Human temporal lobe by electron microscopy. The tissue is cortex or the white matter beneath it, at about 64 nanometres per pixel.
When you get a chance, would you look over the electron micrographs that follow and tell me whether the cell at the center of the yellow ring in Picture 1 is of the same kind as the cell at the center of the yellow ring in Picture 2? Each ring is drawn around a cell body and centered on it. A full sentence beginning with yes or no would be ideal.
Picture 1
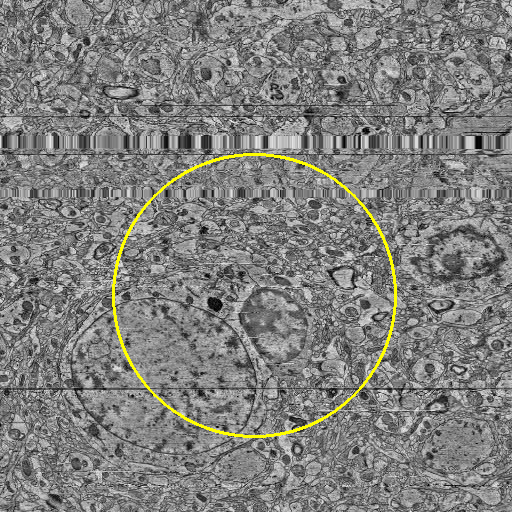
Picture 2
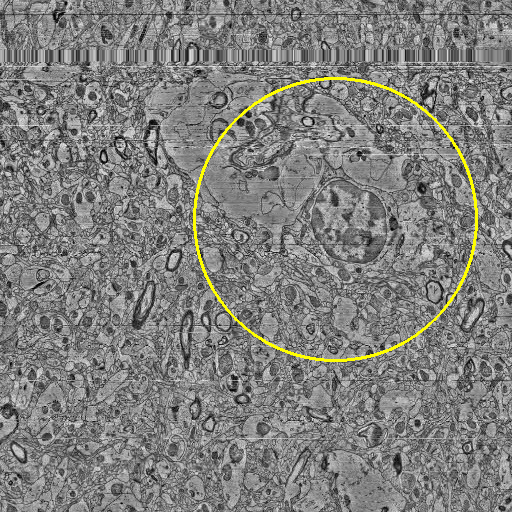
No, they are two kinds of cell.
